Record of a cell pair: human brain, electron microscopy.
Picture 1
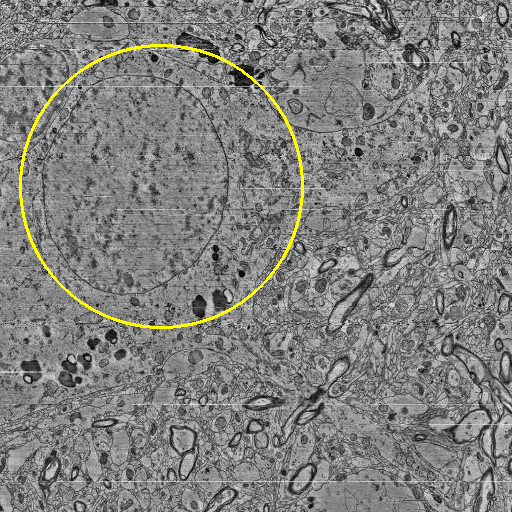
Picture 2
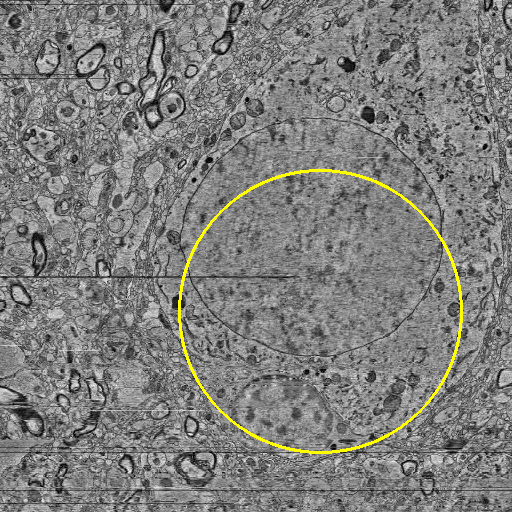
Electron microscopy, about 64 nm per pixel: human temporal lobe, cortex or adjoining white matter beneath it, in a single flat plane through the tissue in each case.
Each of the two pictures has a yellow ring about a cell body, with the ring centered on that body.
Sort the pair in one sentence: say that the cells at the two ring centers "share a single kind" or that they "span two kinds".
The cells centered in the rings of Pictures 1 and 2 share a single kind.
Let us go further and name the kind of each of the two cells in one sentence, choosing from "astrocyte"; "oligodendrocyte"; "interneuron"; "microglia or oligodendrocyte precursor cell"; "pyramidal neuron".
The ring centre holds a pyramidal neuron in each of the two pictures.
